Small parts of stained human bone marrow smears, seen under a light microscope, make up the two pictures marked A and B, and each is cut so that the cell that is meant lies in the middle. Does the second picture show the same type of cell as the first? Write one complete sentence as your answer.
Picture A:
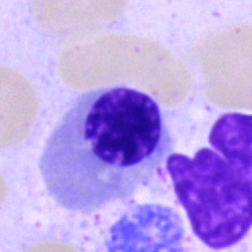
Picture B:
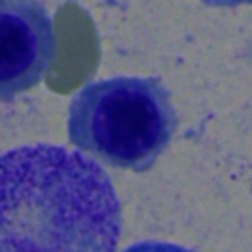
Yes; the cells in both pictures are erythroblasts.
